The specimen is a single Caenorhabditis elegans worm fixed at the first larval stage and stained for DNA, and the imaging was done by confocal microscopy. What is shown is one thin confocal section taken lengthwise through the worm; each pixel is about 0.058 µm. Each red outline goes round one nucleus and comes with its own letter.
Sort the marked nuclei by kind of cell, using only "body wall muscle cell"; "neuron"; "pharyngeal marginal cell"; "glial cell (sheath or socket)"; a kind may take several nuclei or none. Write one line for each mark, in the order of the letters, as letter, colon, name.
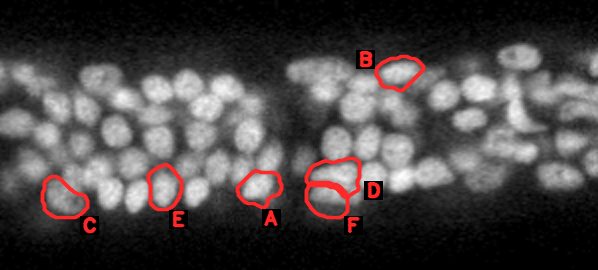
A: neuron
B: neuron
C: glial cell (sheath or socket)
D: glial cell (sheath or socket)
E: neuron
F: body wall muscle cell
